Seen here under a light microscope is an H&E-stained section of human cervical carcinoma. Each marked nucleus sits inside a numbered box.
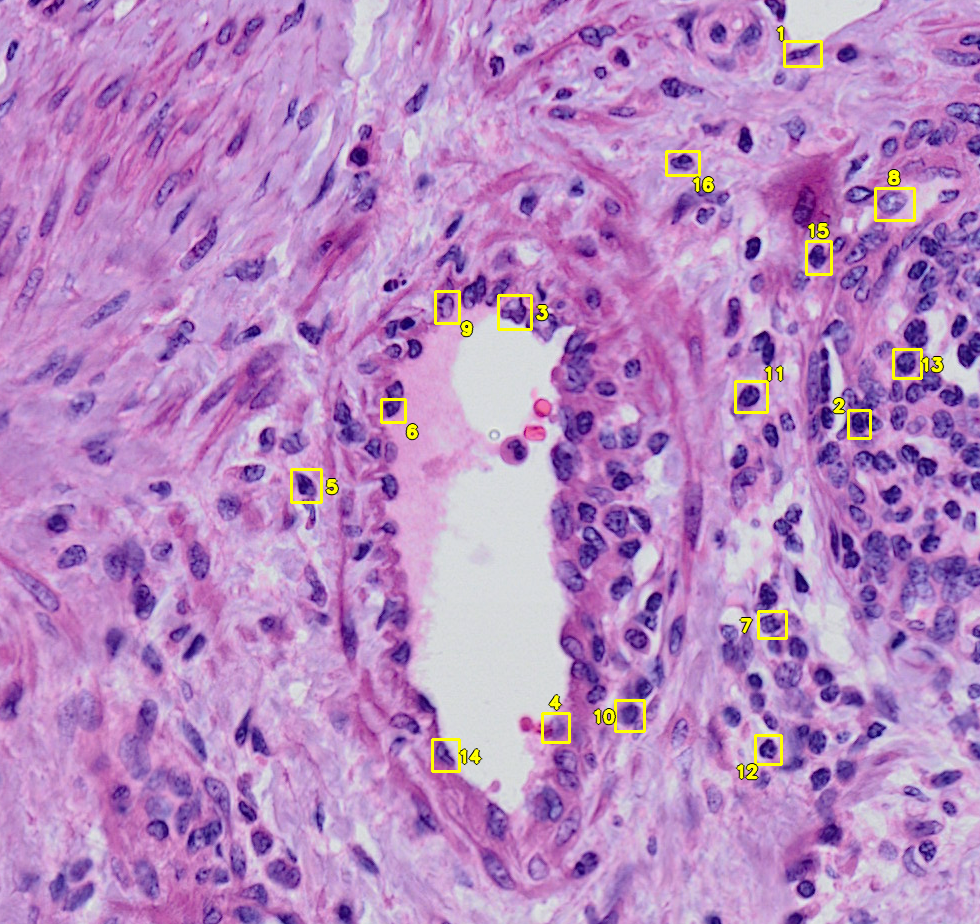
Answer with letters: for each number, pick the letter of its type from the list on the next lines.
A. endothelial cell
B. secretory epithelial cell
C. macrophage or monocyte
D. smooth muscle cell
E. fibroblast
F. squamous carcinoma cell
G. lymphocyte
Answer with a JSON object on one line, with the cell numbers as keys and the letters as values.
{"1": "A", "2": "G", "3": "A", "4": "A", "5": "G", "6": "A", "7": "G", "8": "A", "9": "A", "10": "G", "11": "G", "12": "G", "13": "G", "14": "A", "15": "G", "16": "G"}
